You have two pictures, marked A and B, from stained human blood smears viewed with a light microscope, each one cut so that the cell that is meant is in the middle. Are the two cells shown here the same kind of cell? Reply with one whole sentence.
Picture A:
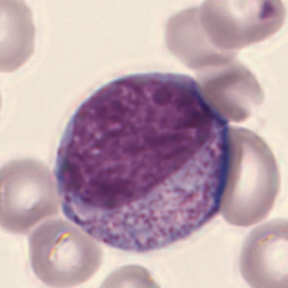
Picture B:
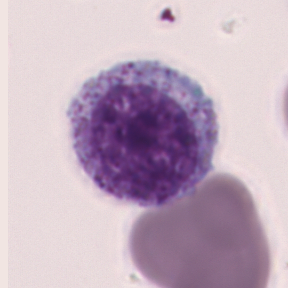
No; the cell in picture A is a promyelocyte, while the one in picture B is a myelocyte.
